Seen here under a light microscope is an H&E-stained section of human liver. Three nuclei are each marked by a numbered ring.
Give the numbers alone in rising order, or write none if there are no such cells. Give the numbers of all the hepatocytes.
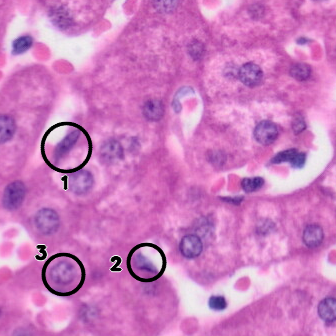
3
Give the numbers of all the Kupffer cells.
1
